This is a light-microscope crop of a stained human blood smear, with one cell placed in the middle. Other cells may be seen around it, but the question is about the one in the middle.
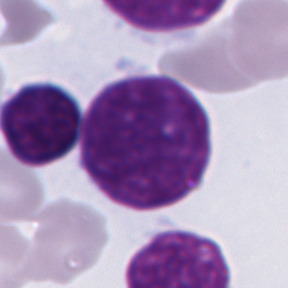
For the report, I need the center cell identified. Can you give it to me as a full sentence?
For this crop, the central cell is a myeloblast.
